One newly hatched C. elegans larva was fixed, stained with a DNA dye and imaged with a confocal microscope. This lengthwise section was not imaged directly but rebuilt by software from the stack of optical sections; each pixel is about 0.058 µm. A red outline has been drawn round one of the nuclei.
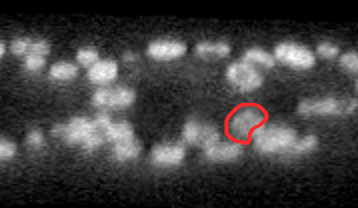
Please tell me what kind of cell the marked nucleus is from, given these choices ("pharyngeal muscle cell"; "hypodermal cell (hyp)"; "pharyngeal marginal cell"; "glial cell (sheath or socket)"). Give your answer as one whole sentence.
The marked nucleus is that of a pharyngeal marginal cell.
